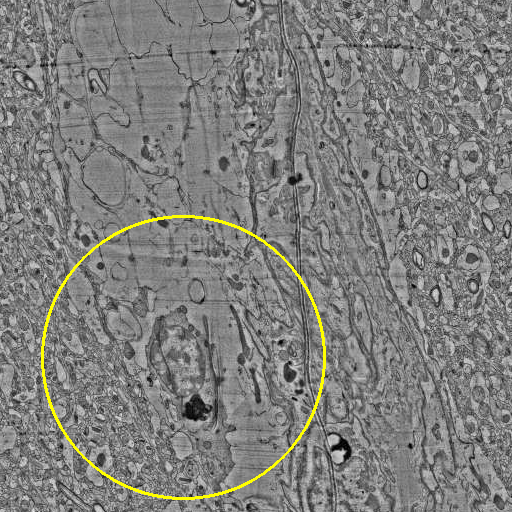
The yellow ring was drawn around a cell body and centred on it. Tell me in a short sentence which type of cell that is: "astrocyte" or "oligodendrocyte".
The cell at the ring's centre is an oligodendrocyte.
